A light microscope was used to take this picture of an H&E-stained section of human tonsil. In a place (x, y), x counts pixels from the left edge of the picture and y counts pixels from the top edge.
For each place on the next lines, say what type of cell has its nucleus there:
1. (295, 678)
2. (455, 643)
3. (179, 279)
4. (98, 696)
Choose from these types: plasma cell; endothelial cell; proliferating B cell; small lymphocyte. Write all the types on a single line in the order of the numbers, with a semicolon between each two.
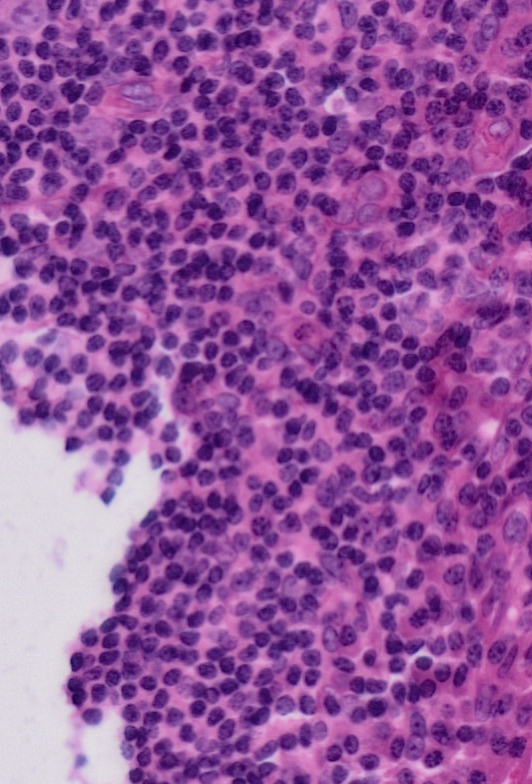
small lymphocyte; plasma cell; small lymphocyte; small lymphocyte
